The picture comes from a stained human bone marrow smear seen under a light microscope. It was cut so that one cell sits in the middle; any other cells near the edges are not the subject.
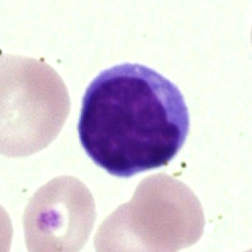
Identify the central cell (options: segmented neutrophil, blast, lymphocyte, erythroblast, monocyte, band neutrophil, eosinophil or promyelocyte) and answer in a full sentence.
The cell around which this crop is centred is a lymphocyte.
